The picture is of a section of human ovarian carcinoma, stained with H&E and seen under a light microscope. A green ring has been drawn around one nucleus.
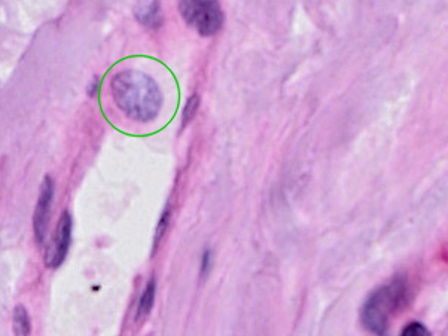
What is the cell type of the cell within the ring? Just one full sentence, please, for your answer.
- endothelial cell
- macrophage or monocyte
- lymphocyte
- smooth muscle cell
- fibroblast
The cell type of the cell within the ring is that of an endothelial cell.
